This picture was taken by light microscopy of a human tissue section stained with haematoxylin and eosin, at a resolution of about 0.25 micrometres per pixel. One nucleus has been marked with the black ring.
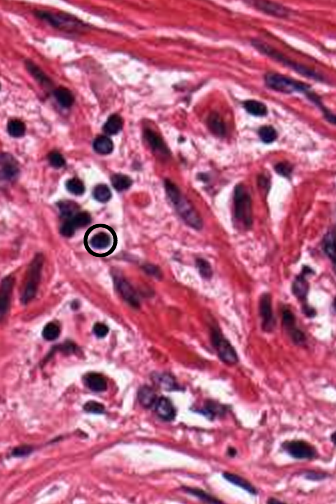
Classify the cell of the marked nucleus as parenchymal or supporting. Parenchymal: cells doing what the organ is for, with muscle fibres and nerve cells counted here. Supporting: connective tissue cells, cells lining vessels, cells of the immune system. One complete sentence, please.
The marked nucleus forms part of a supporting cell.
